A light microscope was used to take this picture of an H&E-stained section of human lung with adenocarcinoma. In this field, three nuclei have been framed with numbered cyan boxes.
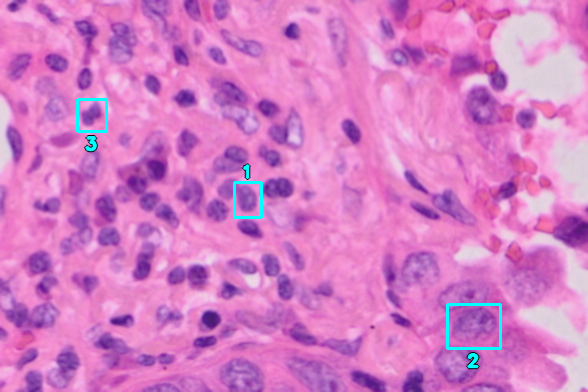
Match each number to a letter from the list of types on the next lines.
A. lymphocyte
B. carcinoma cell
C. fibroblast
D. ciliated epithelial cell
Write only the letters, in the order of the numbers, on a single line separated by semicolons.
A; B; A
